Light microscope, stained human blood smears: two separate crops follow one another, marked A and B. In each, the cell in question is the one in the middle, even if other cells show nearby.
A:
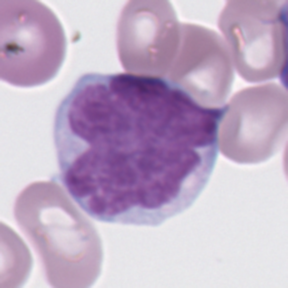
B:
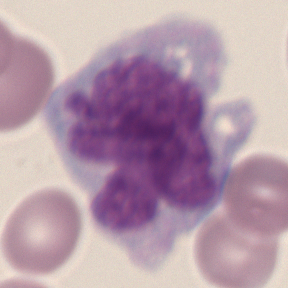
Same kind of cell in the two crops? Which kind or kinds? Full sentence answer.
No, the cell at the middle of crop A is an atypical promyelocyte, while crop B centres on a monocyte.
